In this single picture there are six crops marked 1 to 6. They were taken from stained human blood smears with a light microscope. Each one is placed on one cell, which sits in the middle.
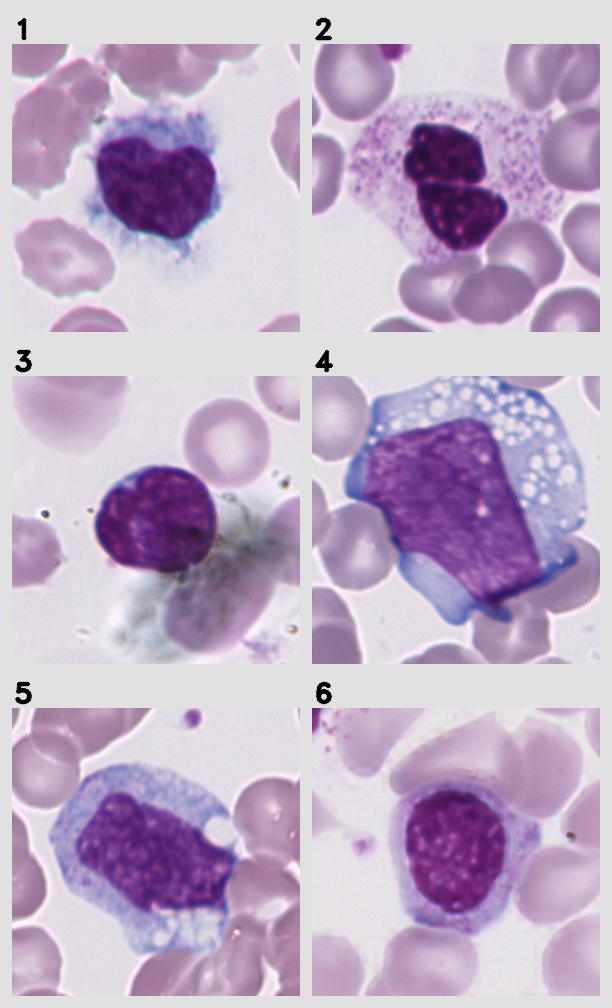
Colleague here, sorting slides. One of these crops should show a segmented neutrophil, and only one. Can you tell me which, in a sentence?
In this series, a segmented neutrophil is shown by crop 2.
